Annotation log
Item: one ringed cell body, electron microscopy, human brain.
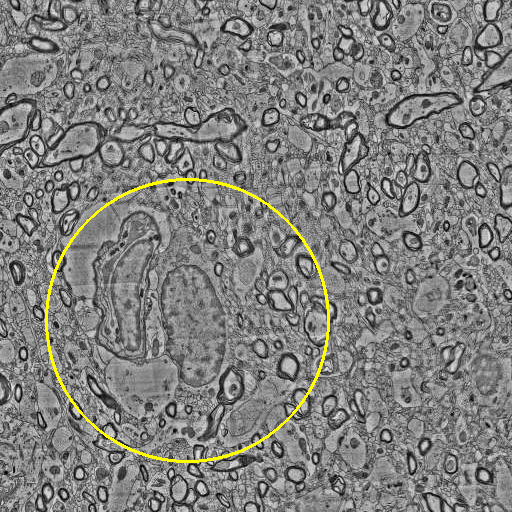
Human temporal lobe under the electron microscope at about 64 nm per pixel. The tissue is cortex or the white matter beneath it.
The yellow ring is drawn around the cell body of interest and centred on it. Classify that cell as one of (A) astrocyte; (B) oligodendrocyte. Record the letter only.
B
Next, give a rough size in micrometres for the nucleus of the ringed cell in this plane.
In this plane the nucleus measures about 8 by 4 micrometres and is clearly longer than it is wide.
